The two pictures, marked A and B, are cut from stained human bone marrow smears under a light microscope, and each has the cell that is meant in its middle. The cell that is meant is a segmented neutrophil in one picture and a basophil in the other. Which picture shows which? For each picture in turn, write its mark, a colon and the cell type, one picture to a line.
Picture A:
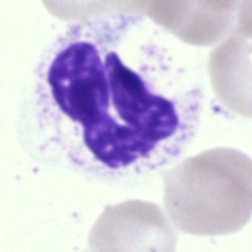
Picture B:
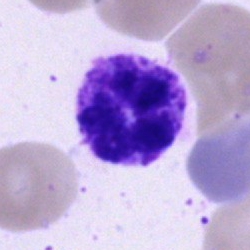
A: segmented neutrophil
B: basophil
